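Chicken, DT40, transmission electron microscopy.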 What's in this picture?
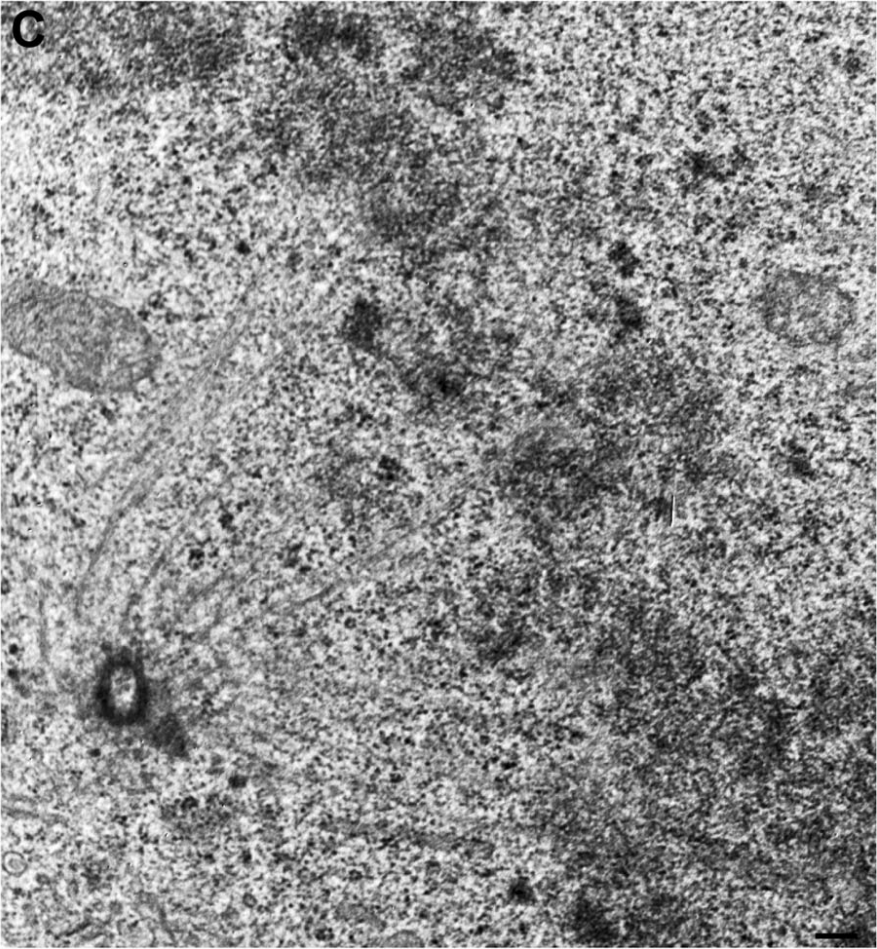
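In the cytoplasm of a dividing lymphocyte, a small dense ring-shaped body sits at the lower left, a centriole seen end-on with a darker fuzzy coat around it, forming the centrosome. From this region, fine straight filaments fan out toward the upper right, the microtubules of a mitotic spindle. Toward the right and top, dense clumped granular masses without any enclosing membrane are the condensed chromosomes. Two oval mitochondria with faint inner folds lie at the left and upper right edges. The rest of the cytoplasm is finely granular, packed with ribosome-like particles. This is a centrosome at one pole of a mitotic spindle.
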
